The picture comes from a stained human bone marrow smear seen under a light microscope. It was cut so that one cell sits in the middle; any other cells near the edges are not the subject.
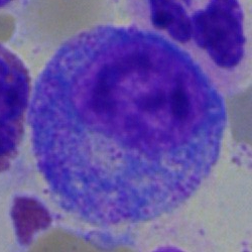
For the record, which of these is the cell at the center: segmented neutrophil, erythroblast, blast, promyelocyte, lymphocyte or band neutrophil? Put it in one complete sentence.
Seen at the centre of the crop is a promyelocyte.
